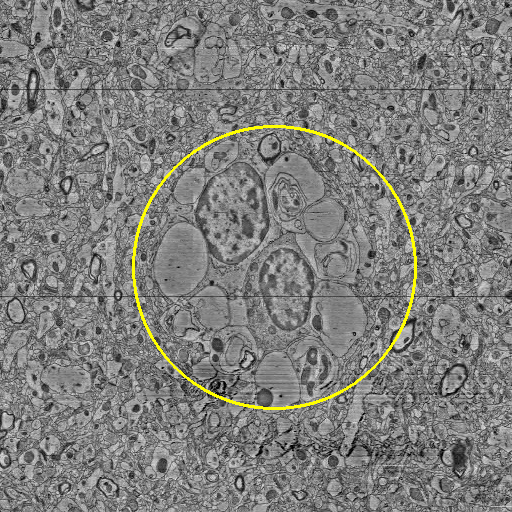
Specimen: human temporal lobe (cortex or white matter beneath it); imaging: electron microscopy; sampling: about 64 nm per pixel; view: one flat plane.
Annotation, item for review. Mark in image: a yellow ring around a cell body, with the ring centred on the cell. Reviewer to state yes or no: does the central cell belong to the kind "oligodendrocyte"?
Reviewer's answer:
yes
